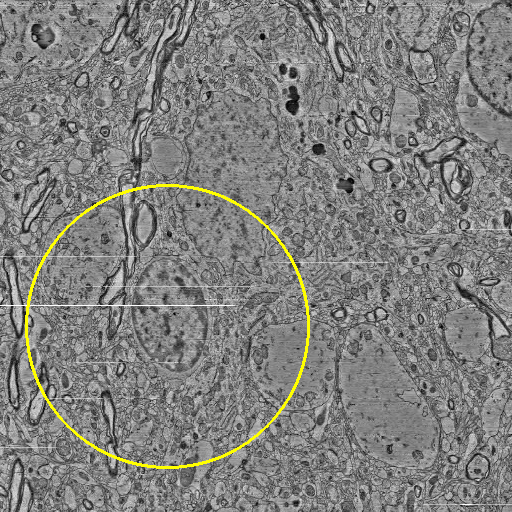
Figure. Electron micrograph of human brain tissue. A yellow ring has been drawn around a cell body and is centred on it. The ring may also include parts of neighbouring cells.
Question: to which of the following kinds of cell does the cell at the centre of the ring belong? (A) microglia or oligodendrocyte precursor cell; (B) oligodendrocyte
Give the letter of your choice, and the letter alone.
B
